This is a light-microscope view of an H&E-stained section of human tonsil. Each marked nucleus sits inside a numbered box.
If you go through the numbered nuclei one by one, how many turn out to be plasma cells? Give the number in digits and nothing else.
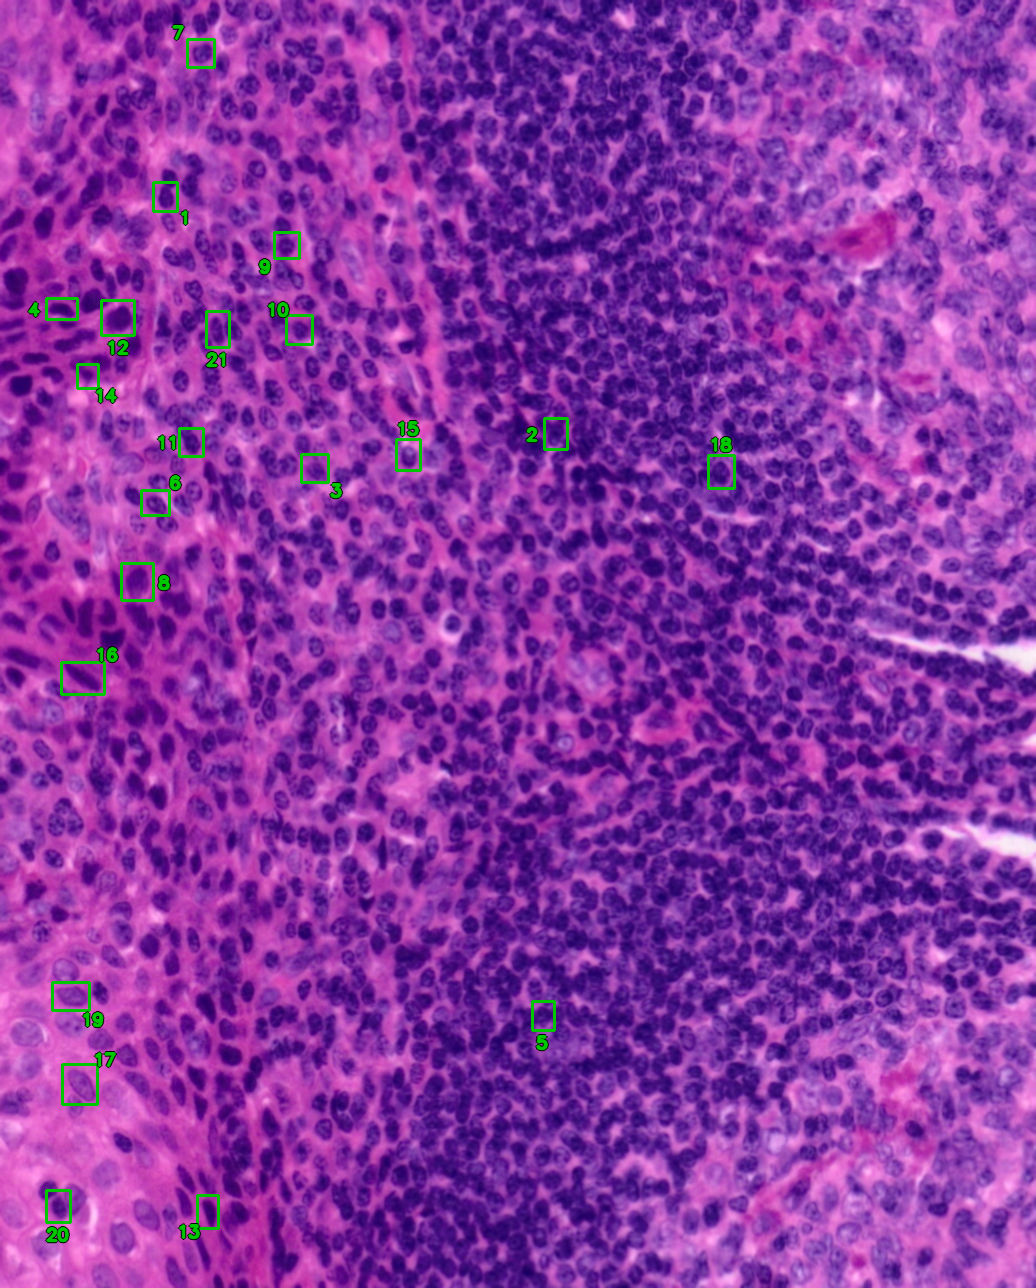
9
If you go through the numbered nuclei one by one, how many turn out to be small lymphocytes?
3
